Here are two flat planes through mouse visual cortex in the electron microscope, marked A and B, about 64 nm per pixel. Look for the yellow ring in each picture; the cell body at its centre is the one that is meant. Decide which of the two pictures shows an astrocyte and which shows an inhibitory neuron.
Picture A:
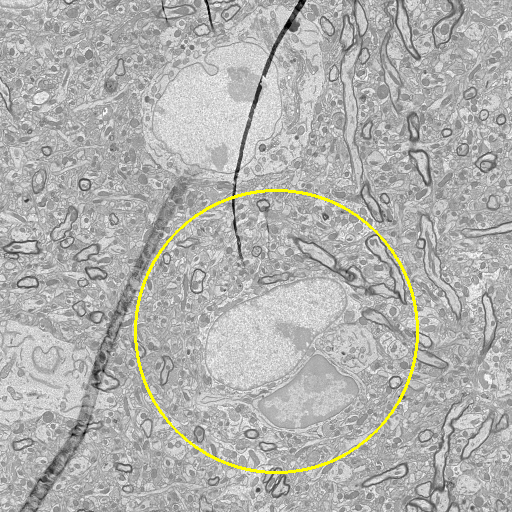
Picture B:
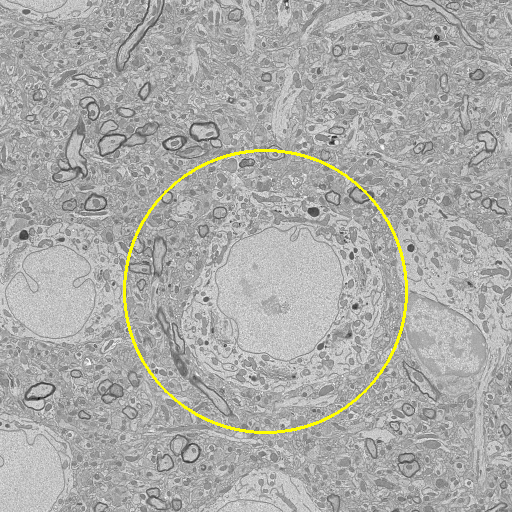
In picture A the cell is an astrocyte; in picture B, an inhibitory neuron.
